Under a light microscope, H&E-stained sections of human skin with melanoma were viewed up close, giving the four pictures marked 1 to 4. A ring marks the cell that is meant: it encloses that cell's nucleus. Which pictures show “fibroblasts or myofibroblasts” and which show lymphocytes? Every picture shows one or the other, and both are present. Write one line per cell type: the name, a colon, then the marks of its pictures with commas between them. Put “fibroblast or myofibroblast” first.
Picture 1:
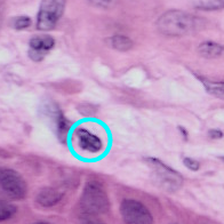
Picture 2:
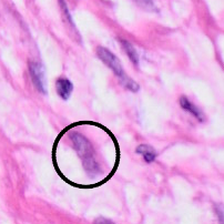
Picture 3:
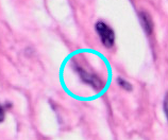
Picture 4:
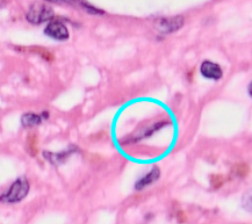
fibroblast or myofibroblast: 2, 3, 4
lymphocyte: 1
